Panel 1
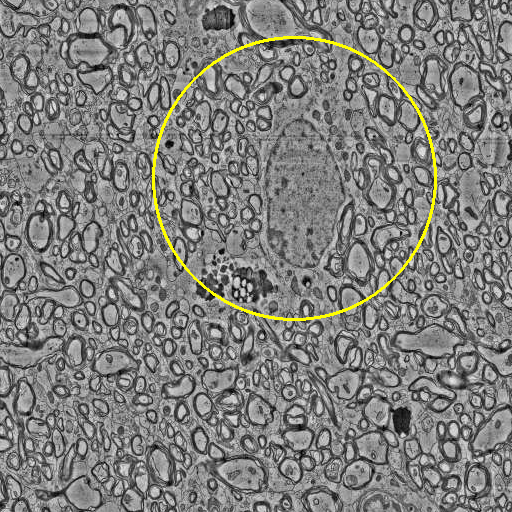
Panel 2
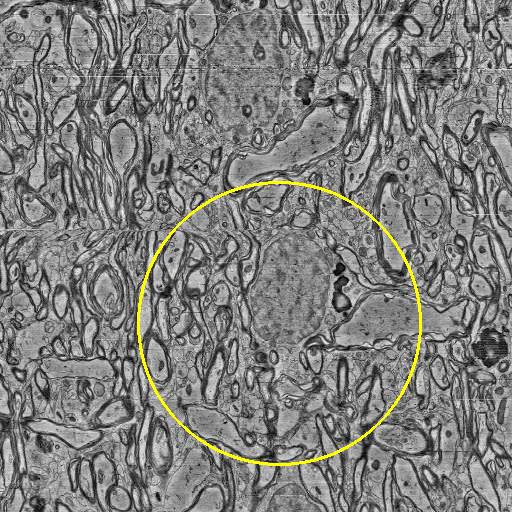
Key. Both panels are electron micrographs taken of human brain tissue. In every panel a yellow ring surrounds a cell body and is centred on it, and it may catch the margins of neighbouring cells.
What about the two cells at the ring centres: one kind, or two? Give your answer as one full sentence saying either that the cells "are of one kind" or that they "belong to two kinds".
Across Panels 1 and 2, the two cells at the ring centres belong to two kinds.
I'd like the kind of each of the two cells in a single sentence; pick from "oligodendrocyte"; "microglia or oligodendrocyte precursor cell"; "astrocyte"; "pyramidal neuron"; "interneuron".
The first ring marks an astrocyte, and the second ring marks an oligodendrocyte.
